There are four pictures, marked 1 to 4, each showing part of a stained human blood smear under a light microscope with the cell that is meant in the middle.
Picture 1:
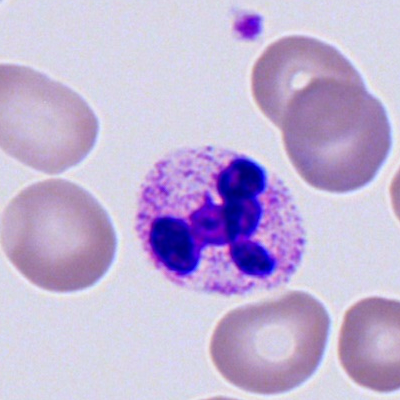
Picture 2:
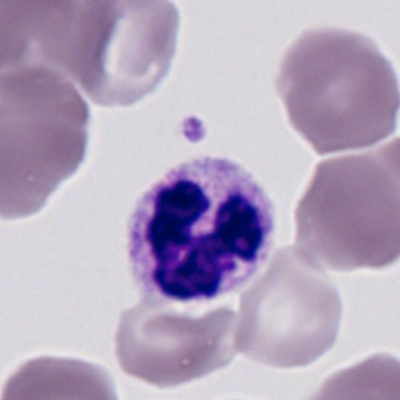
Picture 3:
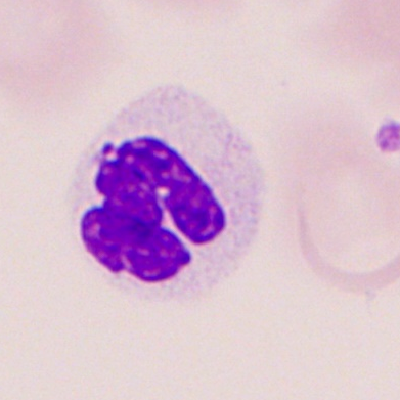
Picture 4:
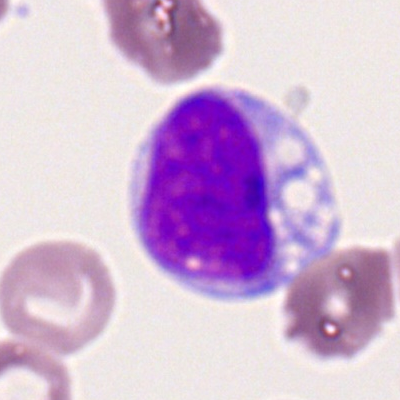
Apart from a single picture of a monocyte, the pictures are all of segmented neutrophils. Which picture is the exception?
4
